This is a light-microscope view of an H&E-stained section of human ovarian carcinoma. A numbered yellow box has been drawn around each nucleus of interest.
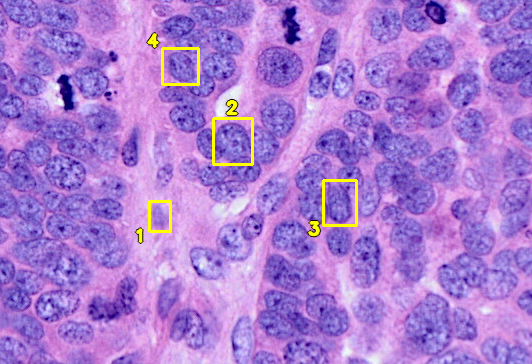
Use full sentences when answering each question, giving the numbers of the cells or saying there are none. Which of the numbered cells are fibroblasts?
No marked cell except number 1 is a fibroblast.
